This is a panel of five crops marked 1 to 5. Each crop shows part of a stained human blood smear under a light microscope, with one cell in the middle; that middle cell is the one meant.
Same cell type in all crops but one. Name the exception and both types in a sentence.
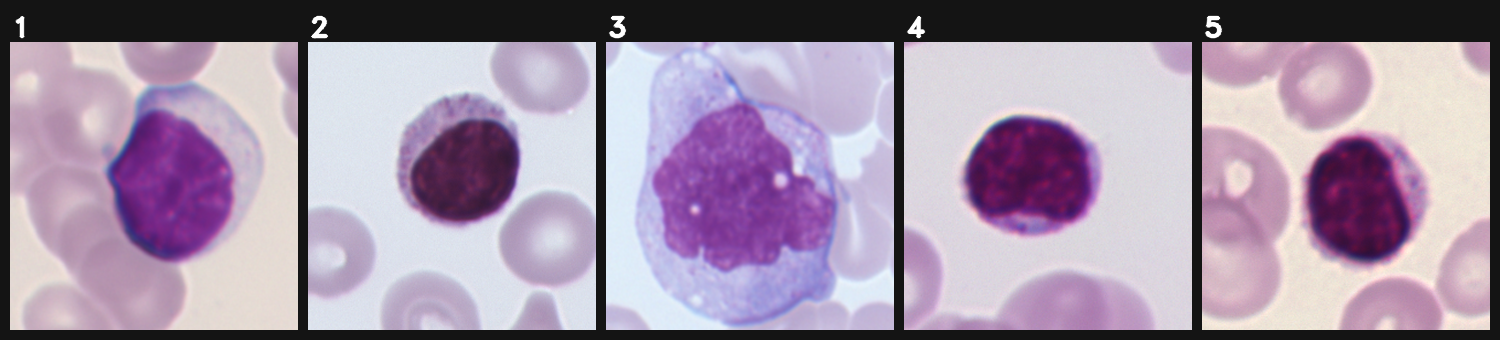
Unlike the other crops, which all show large granular lymphocytes, crop 3 is a monocyte.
